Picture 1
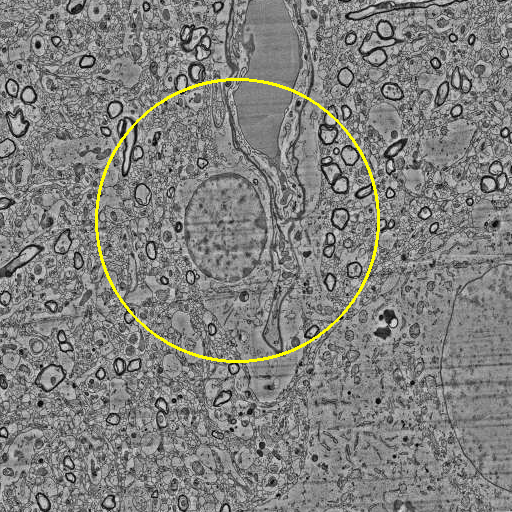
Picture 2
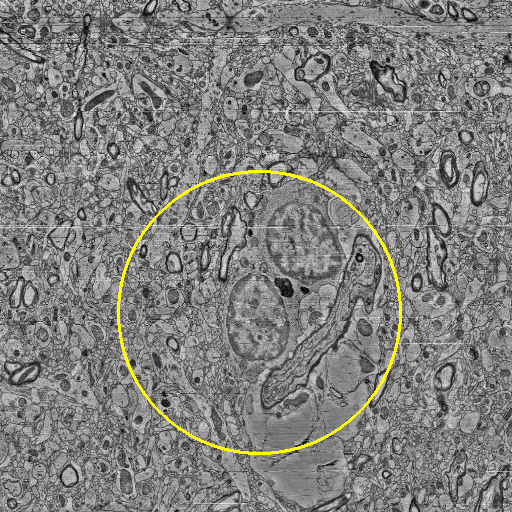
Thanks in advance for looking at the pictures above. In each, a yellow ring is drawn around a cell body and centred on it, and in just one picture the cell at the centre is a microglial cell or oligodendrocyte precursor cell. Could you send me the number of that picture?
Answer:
1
